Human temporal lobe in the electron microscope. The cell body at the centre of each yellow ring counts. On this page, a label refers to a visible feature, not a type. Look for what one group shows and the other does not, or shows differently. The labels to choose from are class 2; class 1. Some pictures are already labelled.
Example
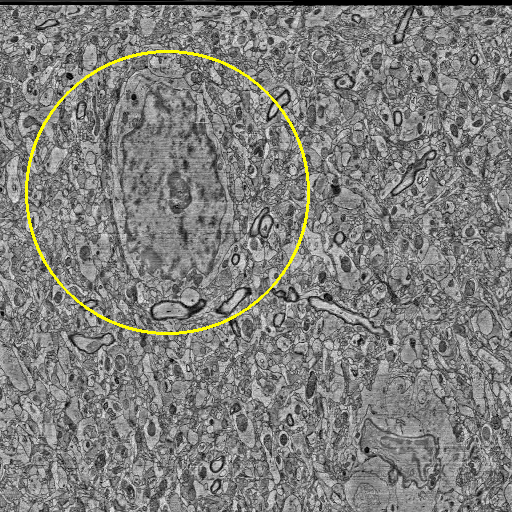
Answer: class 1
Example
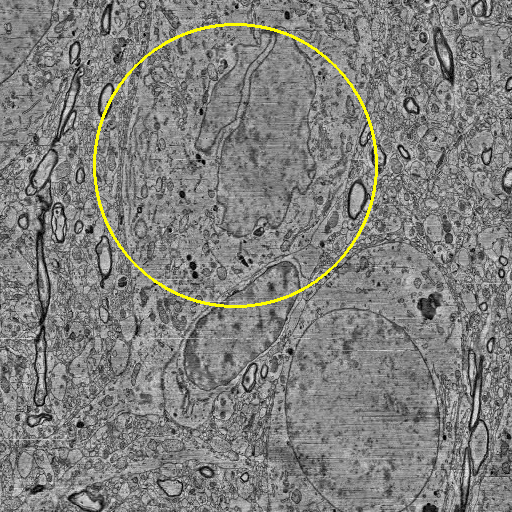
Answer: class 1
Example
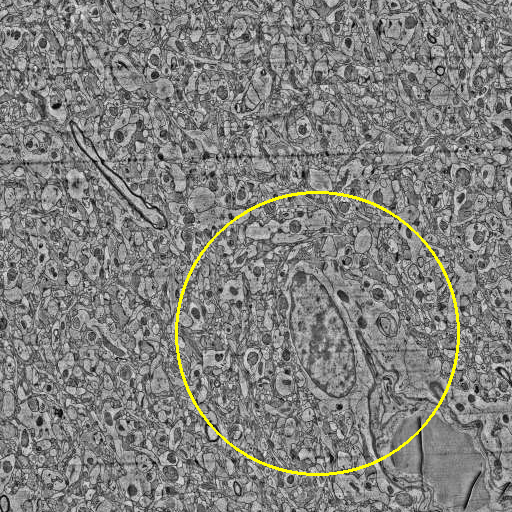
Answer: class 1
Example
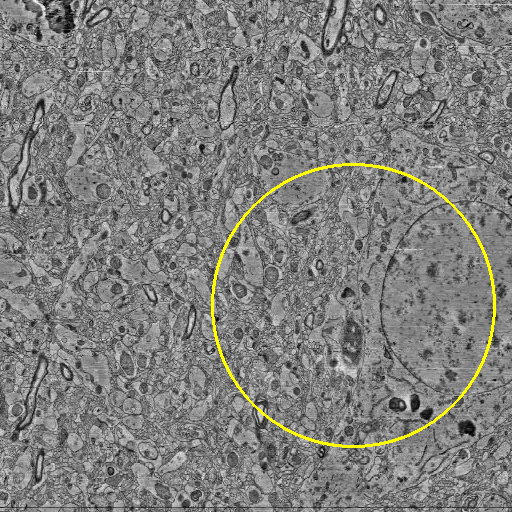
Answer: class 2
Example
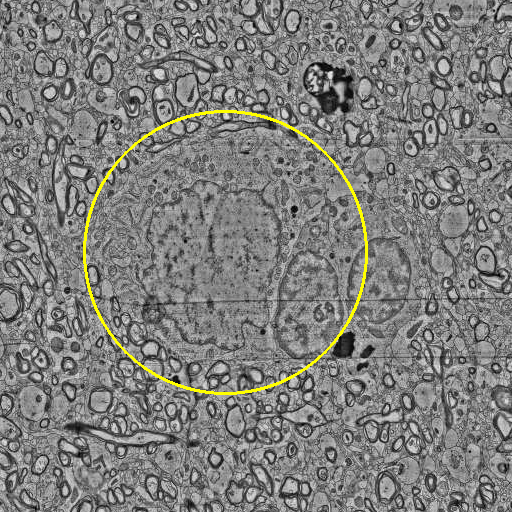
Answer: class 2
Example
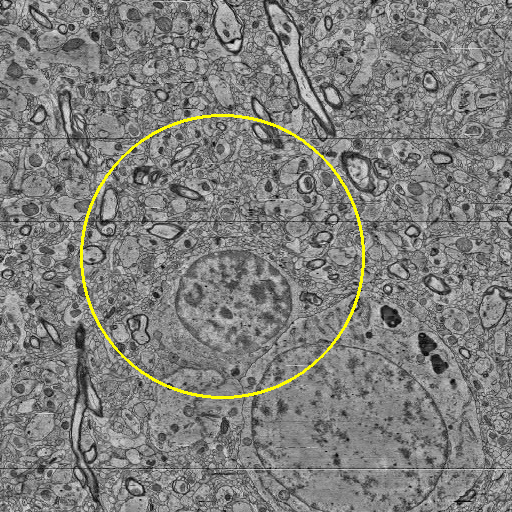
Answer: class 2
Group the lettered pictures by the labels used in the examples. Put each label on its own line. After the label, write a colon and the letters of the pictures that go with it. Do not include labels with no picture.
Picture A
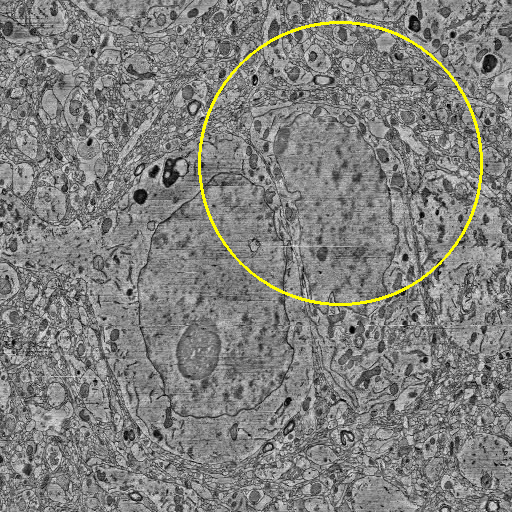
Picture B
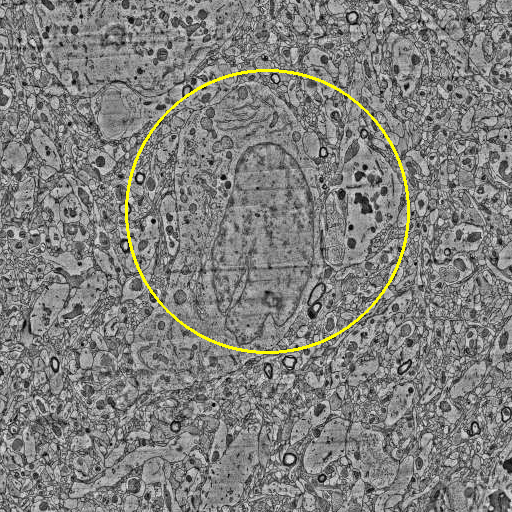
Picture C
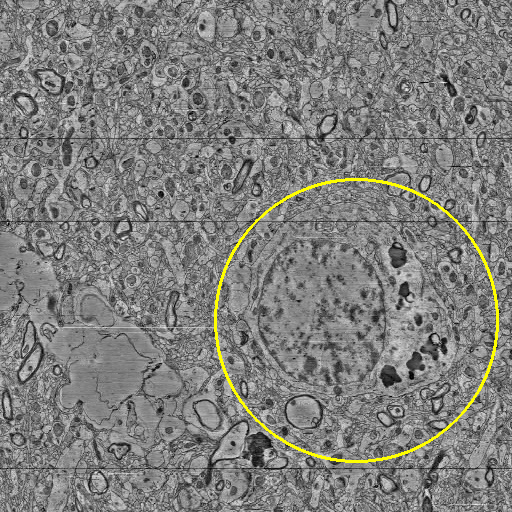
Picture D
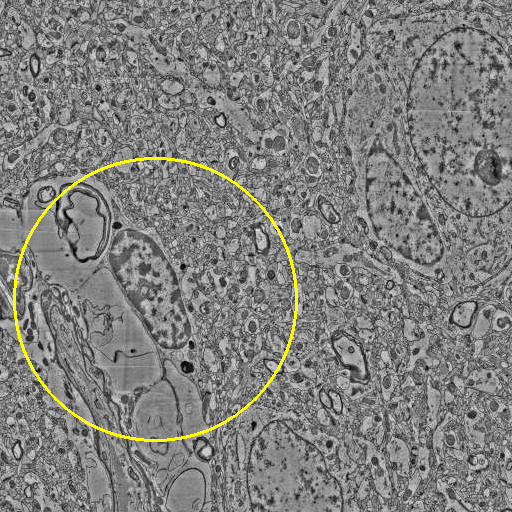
class 2: C
class 1: A, B, D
